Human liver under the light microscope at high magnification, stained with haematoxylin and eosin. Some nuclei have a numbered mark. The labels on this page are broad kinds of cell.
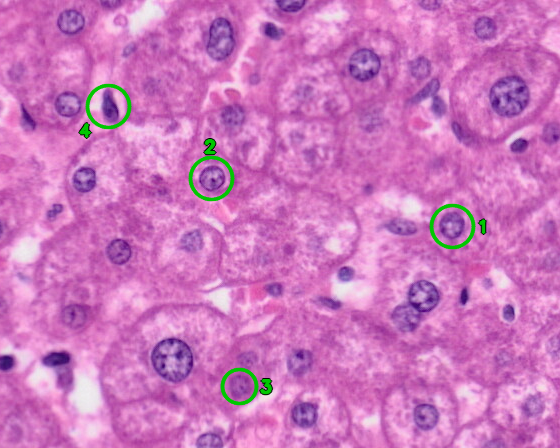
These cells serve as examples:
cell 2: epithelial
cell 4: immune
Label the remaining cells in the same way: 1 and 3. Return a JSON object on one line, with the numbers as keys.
{"1": "epithelial", "3": "epithelial"}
